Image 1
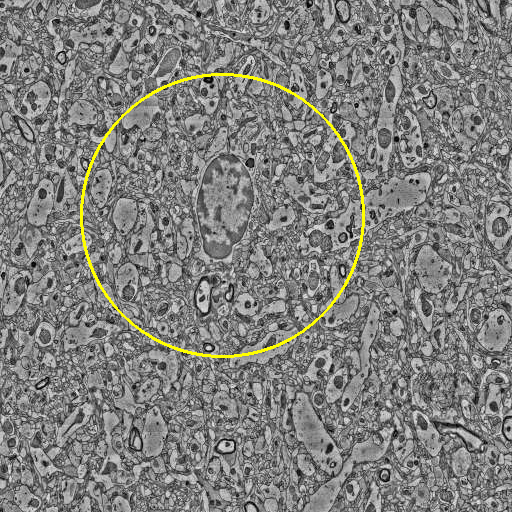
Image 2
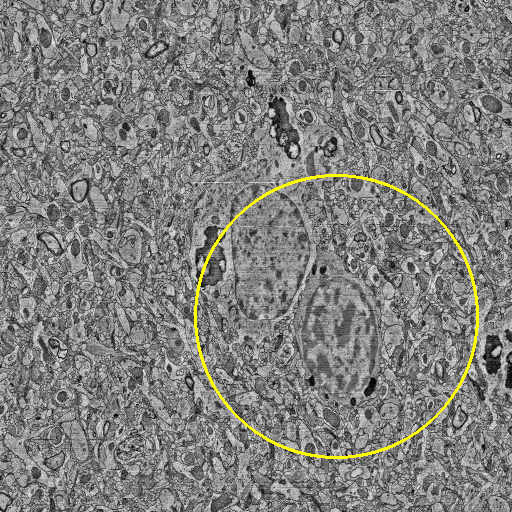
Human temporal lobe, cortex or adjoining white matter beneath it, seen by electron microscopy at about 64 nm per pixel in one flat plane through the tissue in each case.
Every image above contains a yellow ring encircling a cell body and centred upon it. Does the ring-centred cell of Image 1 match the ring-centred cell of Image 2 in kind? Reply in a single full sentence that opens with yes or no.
No, the cell at the ring's centre in Image 1 is a separate kind from that in Image 2.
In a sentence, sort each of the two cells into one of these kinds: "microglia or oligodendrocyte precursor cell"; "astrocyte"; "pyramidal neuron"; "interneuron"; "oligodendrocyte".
The first of the two cells is a microglial cell or oligodendrocyte precursor cell, and the second is an oligodendrocyte.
